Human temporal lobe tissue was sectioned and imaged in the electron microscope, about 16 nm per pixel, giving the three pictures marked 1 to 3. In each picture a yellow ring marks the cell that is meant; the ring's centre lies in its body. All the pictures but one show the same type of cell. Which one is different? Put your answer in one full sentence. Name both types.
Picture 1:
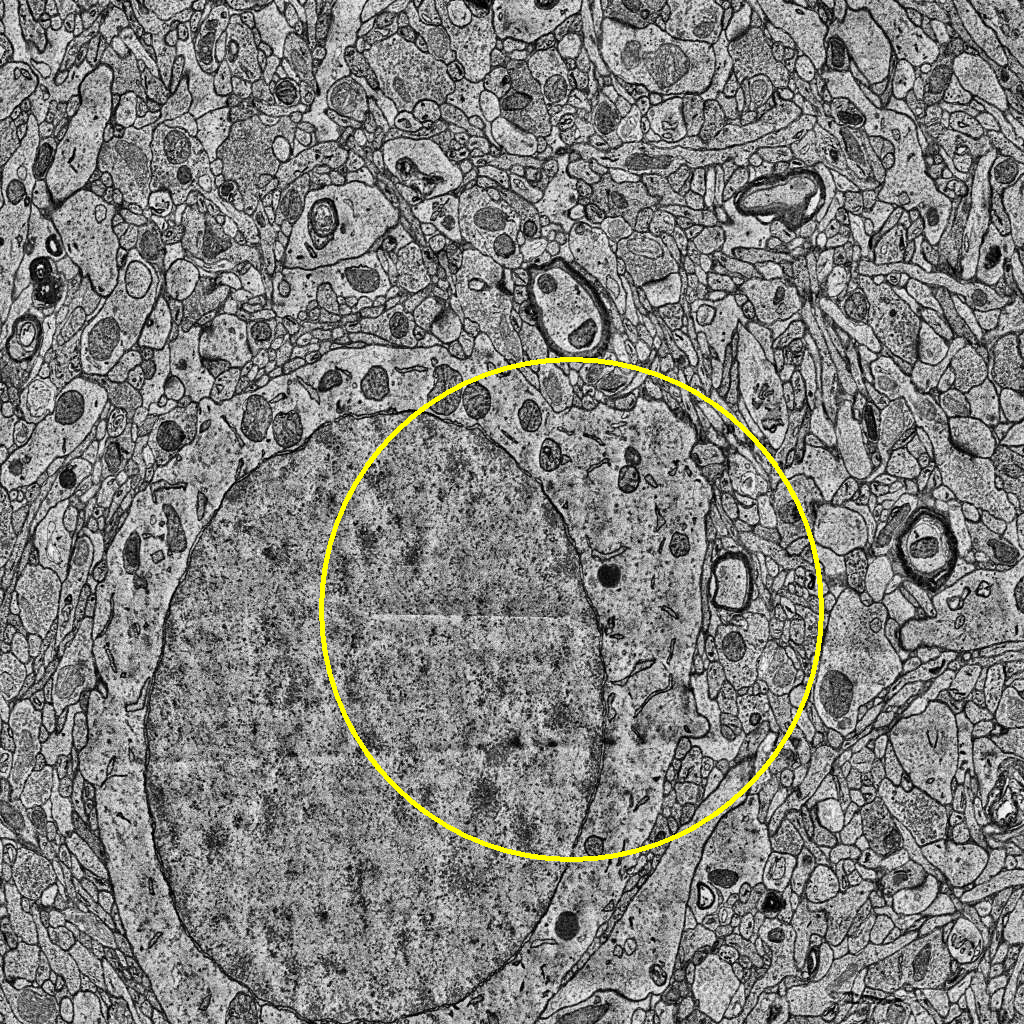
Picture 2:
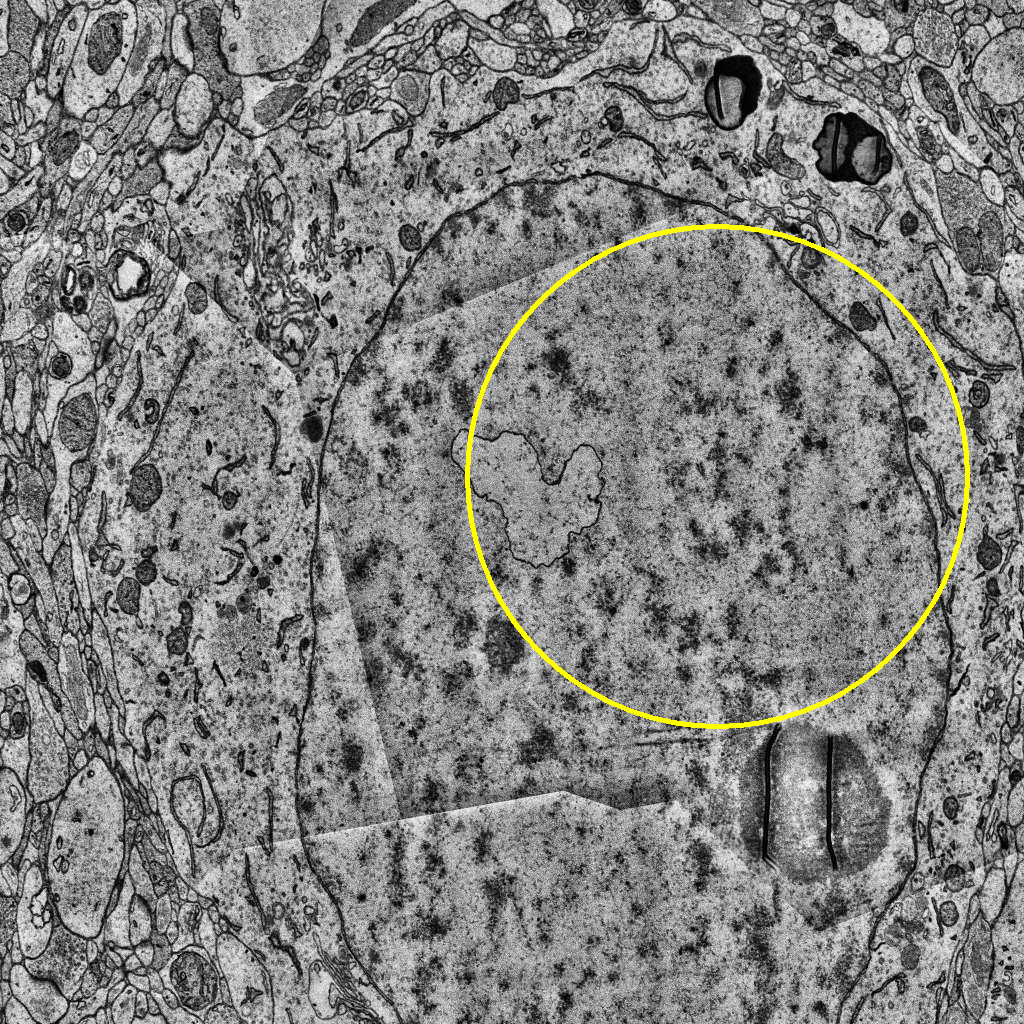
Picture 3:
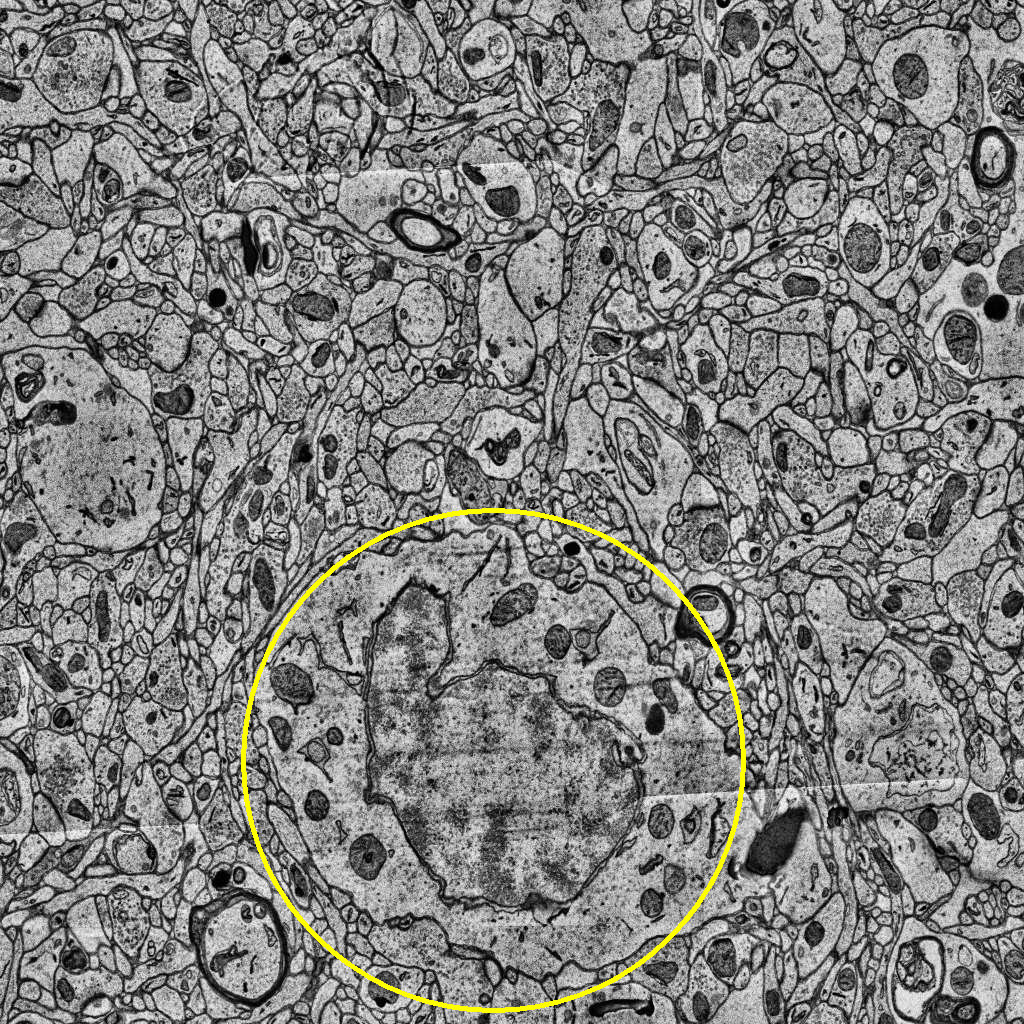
Picture 3 differs, because its cell is an interneuron and the rest are pyramidal neurons.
